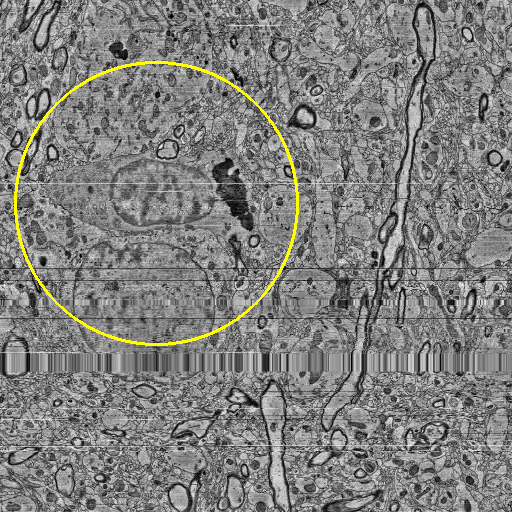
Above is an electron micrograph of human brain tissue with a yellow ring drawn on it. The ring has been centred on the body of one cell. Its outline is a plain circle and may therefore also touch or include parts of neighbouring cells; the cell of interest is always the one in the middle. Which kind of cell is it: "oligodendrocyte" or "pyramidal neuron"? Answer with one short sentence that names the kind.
The ring's central cell body is that of an oligodendrocyte.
